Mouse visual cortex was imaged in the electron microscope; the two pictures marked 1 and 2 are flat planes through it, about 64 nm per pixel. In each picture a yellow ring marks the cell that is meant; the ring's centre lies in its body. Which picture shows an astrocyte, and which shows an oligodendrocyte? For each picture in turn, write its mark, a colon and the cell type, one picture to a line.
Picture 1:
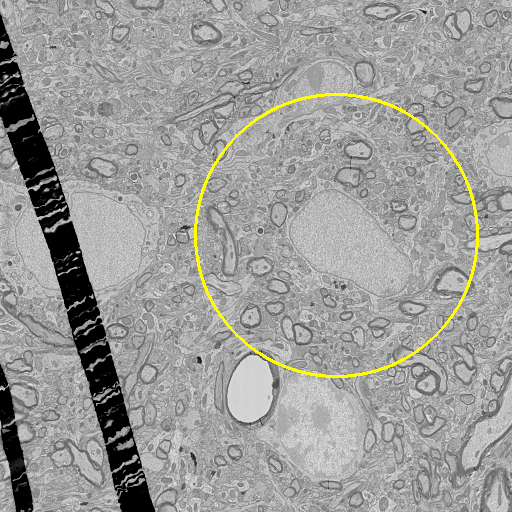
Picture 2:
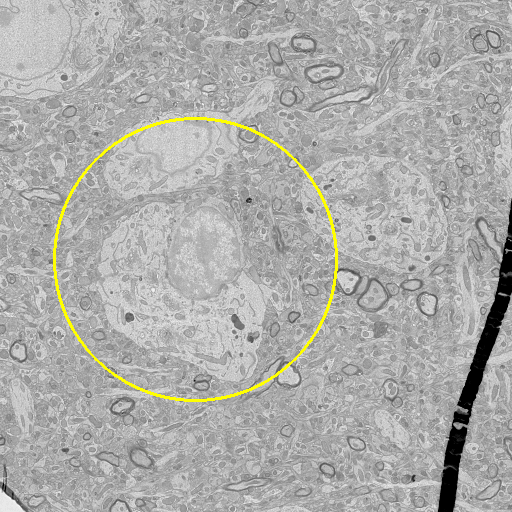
1: astrocyte
2: oligodendrocyte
